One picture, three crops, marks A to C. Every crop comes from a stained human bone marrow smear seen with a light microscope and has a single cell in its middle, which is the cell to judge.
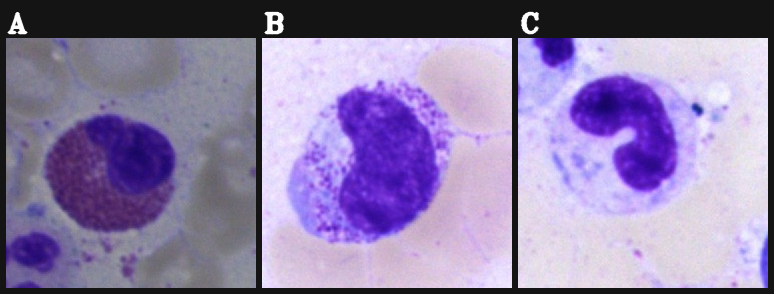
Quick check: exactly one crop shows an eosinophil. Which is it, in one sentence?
Of all the crops, crop A is the one showing an eosinophil.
